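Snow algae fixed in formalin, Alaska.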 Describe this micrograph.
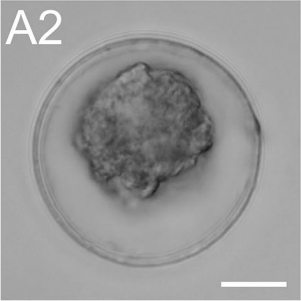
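A thick, smooth, transparent outer wall forms a near-perfect circle with a doubled outline. Inside, separated from it by a broad clear space, lies a smaller, irregularly rounded protoplast with a granular, dense cytoplasm and a slightly lumpy margin. No flagella or surface ornaments are visible; the wall is even in thickness all round.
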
